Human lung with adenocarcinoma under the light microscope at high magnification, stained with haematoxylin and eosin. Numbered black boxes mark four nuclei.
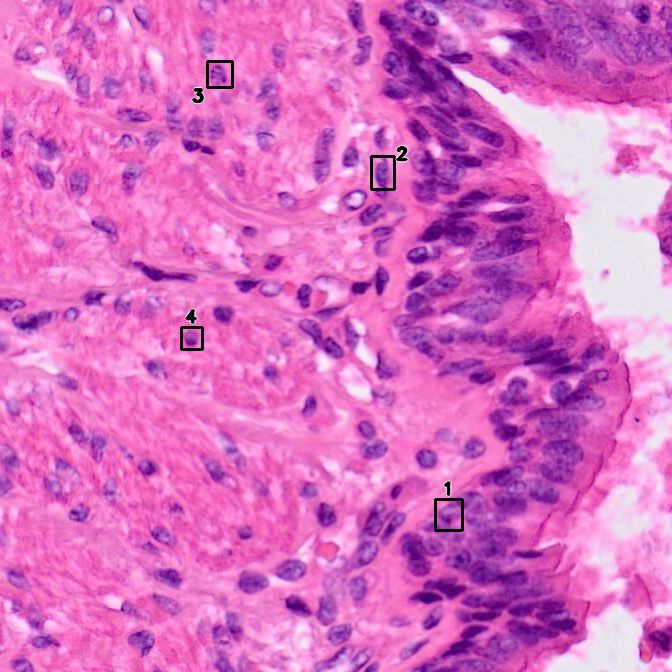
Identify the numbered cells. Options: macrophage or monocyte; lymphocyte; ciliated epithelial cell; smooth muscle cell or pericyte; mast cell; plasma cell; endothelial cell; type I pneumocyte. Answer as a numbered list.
1. ciliated epithelial cell
2. lymphocyte
3. mast cell
4. smooth muscle cell or pericyte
